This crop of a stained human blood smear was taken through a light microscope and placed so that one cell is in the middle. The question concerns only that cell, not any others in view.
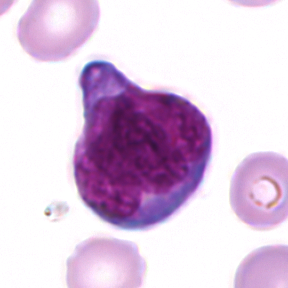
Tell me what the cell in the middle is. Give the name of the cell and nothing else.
atypical promyelocyte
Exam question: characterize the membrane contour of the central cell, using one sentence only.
The cell shows an uneven border, formed by ragged areas or by outward projections.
